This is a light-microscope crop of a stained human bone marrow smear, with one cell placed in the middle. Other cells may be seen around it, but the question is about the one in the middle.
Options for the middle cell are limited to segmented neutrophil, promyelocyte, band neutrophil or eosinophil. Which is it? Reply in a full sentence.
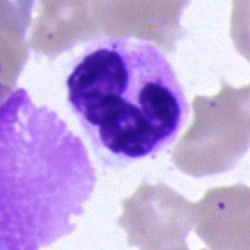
The central cell, amid any neighbouring cells, is a segmented neutrophil.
